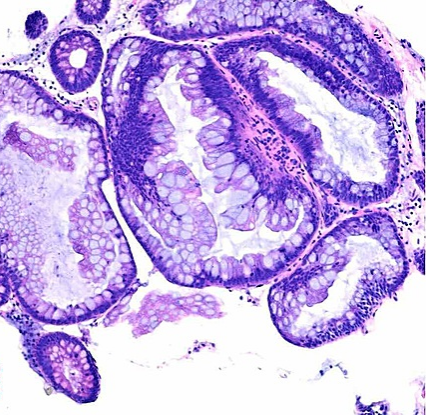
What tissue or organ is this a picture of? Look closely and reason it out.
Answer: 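Colonic crypts with serrated luminal contours. Dilated, irregular crypts lined by mucin-rich goblet-type cells.
Hence: sessile serrated adenoma.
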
